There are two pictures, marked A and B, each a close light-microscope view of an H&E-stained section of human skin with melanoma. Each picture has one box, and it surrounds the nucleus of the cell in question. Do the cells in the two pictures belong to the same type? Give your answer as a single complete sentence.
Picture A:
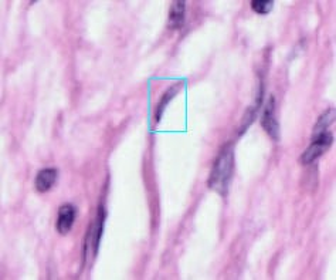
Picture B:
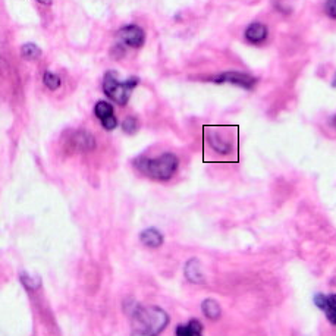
No, they differ: the cell is a “fibroblast or myofibroblast” in picture A and a “macrophage or monocyte” in picture B.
